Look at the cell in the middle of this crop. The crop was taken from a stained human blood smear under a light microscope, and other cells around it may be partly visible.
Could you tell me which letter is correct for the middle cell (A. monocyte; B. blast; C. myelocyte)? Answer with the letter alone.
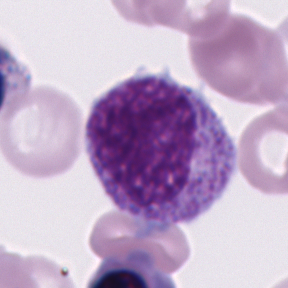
C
